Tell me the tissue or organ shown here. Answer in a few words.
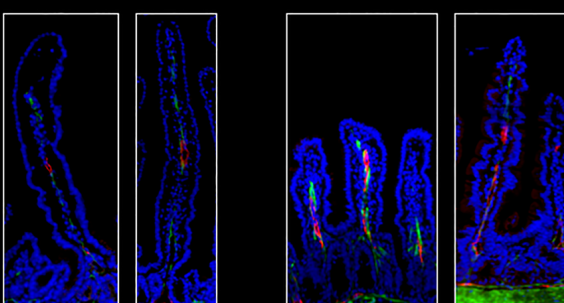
Intestinal tissue.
